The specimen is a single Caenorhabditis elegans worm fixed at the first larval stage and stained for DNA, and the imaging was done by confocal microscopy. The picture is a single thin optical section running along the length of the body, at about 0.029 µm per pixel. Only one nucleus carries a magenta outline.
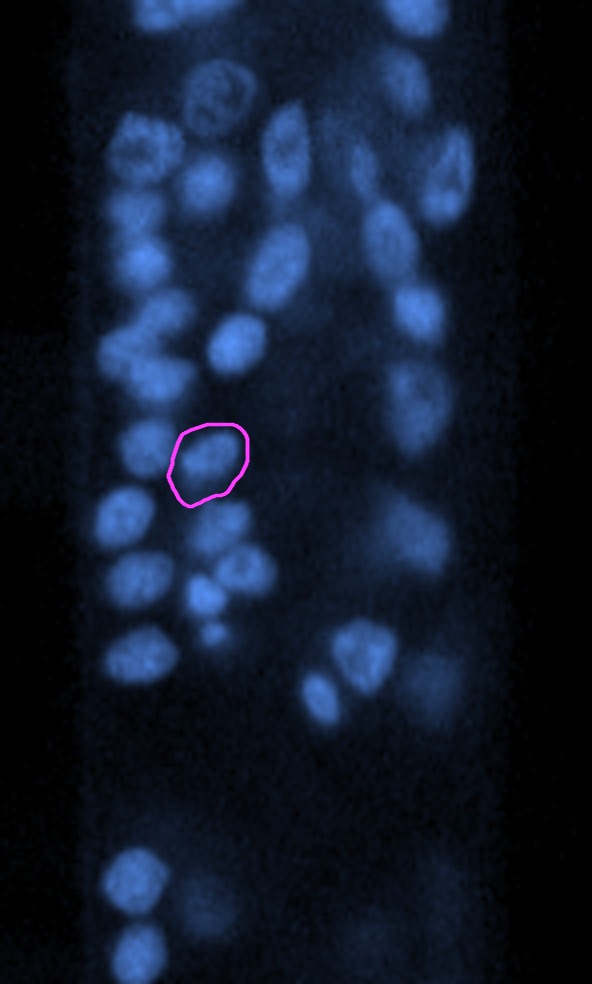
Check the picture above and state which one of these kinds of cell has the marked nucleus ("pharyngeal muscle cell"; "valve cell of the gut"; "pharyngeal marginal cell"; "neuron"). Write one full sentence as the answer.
This is the nucleus of a pharyngeal marginal cell.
